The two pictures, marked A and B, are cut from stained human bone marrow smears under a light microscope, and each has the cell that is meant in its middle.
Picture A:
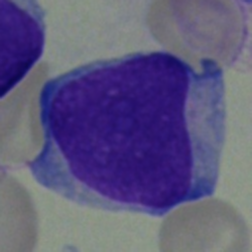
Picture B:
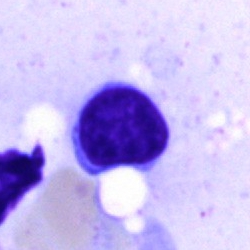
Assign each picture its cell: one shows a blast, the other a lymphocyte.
A: blast
B: lymphocyte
